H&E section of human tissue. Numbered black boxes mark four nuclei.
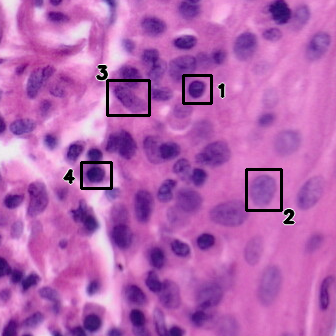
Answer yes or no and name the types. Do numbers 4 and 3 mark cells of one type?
No, cell 4 is a plasma cell and cell 3 is a squamous epithelial cell.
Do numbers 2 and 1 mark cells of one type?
Yes, both are squamous epithelial cells.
